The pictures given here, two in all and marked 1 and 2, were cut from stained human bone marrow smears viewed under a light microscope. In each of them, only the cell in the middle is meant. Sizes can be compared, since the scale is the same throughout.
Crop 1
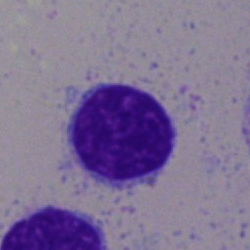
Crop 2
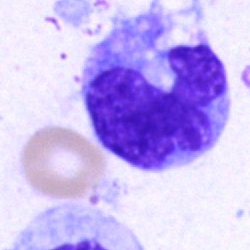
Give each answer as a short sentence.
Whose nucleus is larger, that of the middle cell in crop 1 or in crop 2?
The nucleus in crop 2 is larger, with about 1.5 times the area of the one in crop 1.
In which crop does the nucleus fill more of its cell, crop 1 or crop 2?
The nucleus fills more of the cell in crop 1 than in crop 2.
